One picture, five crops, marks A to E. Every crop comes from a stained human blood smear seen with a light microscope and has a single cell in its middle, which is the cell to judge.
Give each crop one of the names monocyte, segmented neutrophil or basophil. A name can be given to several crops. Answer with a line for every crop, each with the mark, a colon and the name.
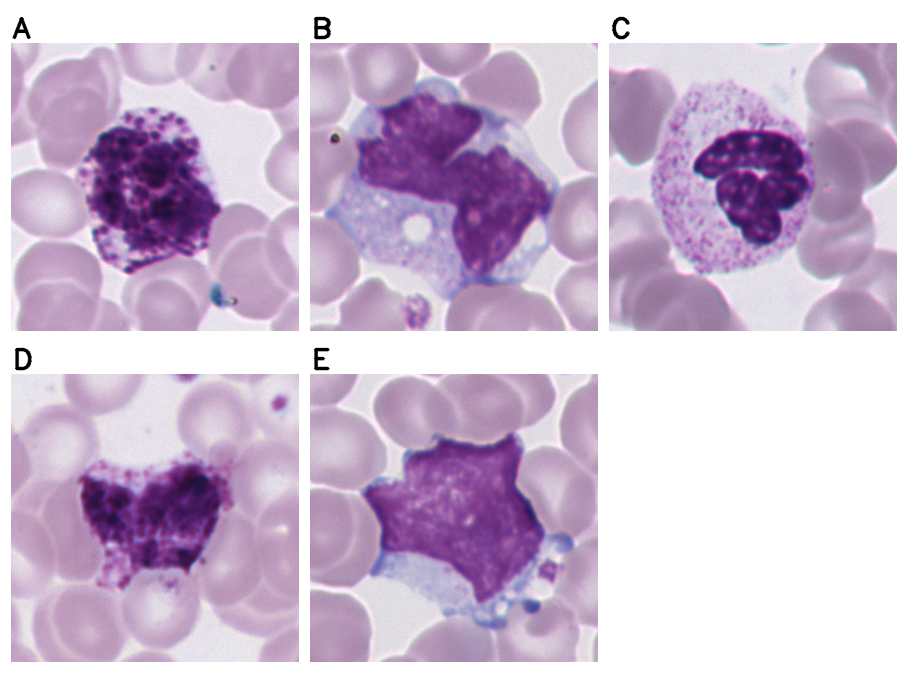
A: basophil
B: monocyte
C: segmented neutrophil
D: basophil
E: monocyte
